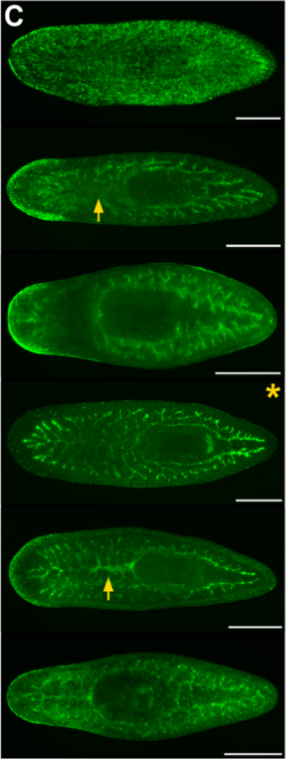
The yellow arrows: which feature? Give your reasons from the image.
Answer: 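These branches lie ahead of the central dark pharynx region.
Conclusion: anterior intestinal branches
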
